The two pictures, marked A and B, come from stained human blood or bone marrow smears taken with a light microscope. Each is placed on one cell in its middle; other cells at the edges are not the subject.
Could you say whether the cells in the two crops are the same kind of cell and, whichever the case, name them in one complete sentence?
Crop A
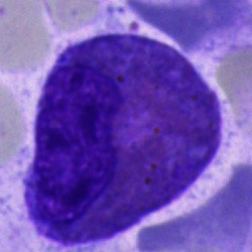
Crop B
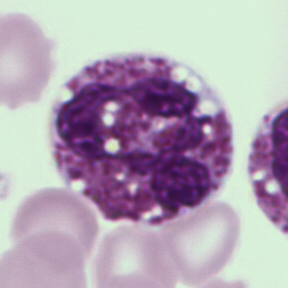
Yes, eosinophils are shown in both crops.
